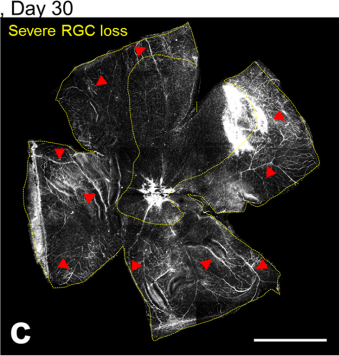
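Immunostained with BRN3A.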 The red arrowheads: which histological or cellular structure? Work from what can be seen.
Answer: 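Blood vessels. The arrowheads lie on bright branching lines running across the flatmount.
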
